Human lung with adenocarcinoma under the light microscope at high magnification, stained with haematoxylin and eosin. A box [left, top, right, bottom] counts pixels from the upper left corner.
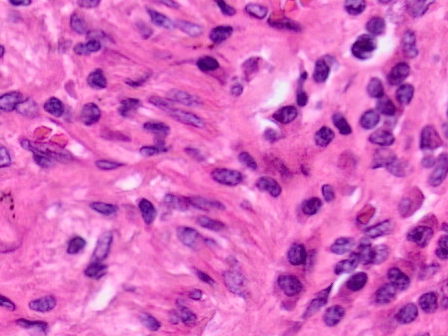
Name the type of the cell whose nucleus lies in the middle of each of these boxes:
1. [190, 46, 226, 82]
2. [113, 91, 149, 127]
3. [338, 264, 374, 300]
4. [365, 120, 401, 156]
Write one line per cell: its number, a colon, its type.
1: plasma cell
2: plasma cell
3: plasma cell
4: lymphocyte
